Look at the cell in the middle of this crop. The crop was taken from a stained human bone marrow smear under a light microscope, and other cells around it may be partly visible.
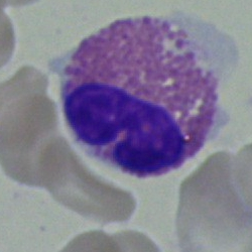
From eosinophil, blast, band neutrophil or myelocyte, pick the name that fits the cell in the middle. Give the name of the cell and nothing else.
eosinophil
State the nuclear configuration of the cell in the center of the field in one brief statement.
See how the nucleus sits as one compact round, oval or kidney-shaped mass.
